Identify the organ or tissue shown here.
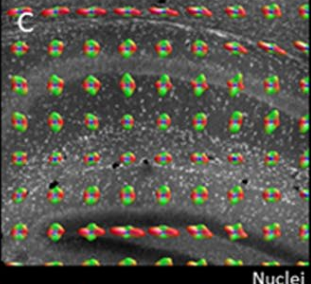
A: Hippocampus.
